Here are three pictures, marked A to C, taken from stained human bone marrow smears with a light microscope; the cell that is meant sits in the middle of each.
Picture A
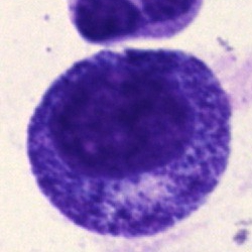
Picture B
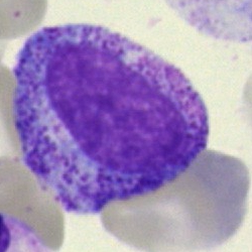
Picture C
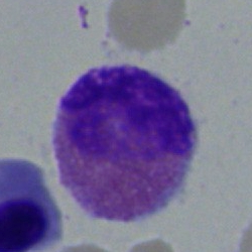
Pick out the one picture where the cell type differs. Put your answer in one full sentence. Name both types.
Picture C differs, because its cell is an eosinophil and the rest are promyelocytes.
